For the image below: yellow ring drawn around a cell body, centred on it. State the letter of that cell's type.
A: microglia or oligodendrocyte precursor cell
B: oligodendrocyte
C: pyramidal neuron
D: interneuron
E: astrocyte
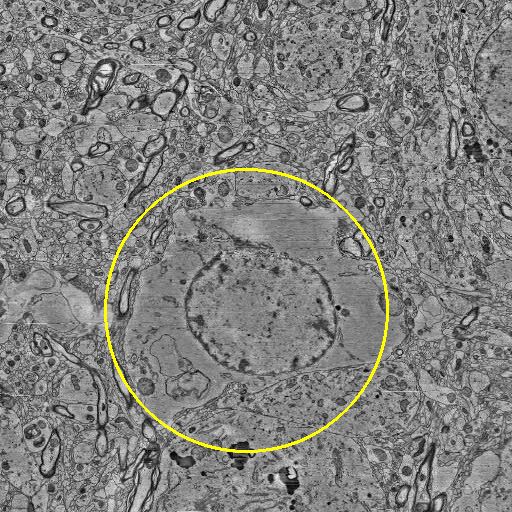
E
